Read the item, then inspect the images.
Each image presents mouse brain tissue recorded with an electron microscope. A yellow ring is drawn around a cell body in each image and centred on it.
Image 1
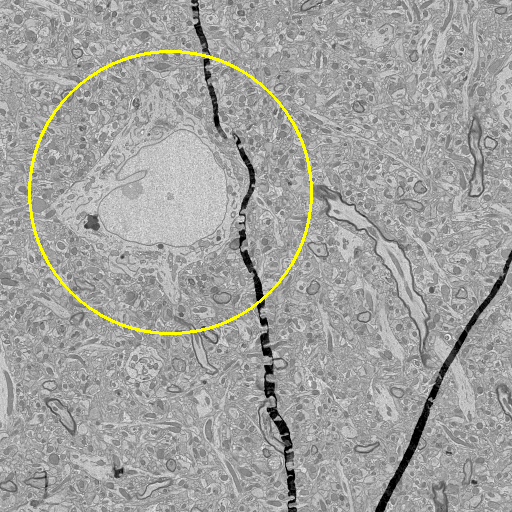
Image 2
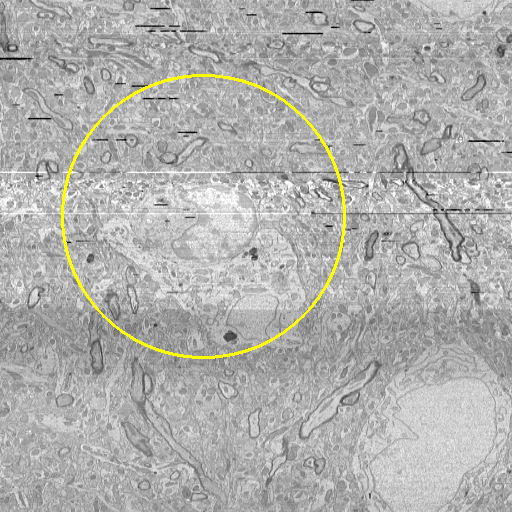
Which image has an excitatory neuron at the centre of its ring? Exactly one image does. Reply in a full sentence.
The ring in Image 1 is centred on it.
